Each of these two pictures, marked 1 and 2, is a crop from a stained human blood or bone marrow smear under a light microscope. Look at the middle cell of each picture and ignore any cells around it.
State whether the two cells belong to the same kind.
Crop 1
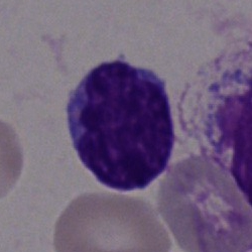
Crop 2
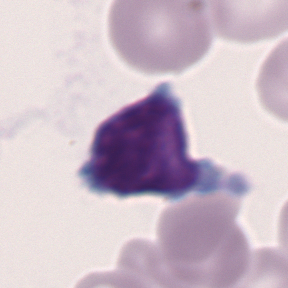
no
